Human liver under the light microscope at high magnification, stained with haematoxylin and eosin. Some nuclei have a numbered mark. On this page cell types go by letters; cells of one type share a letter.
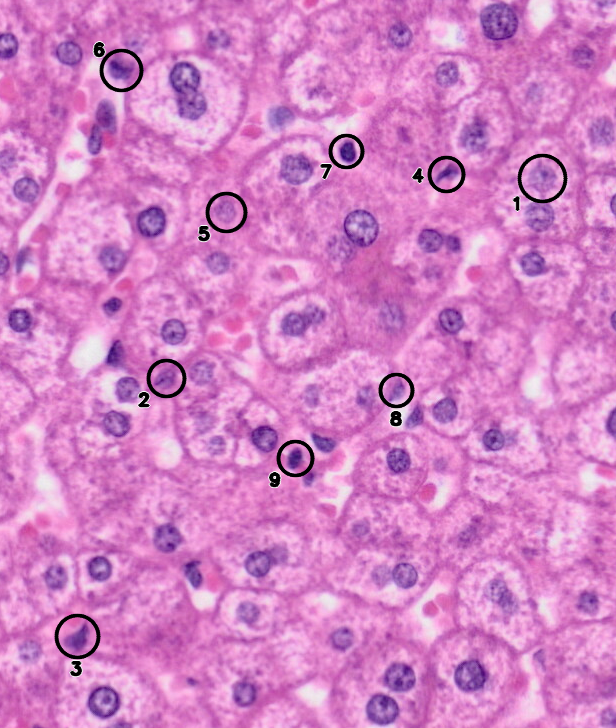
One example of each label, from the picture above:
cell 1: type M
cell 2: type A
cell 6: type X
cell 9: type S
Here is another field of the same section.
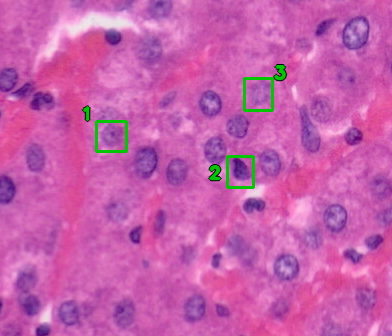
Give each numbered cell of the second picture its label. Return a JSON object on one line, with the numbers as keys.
{"1": "type M", "2": "type X", "3": "type M"}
